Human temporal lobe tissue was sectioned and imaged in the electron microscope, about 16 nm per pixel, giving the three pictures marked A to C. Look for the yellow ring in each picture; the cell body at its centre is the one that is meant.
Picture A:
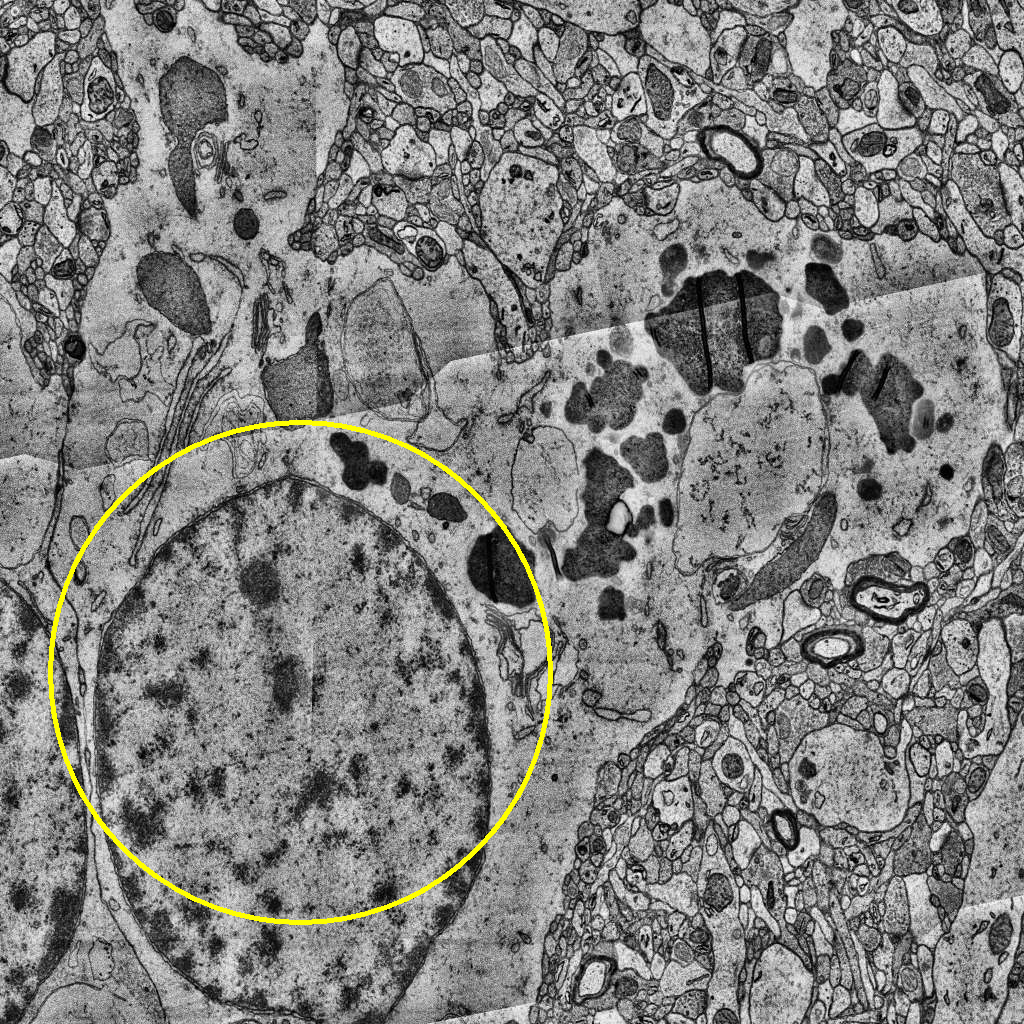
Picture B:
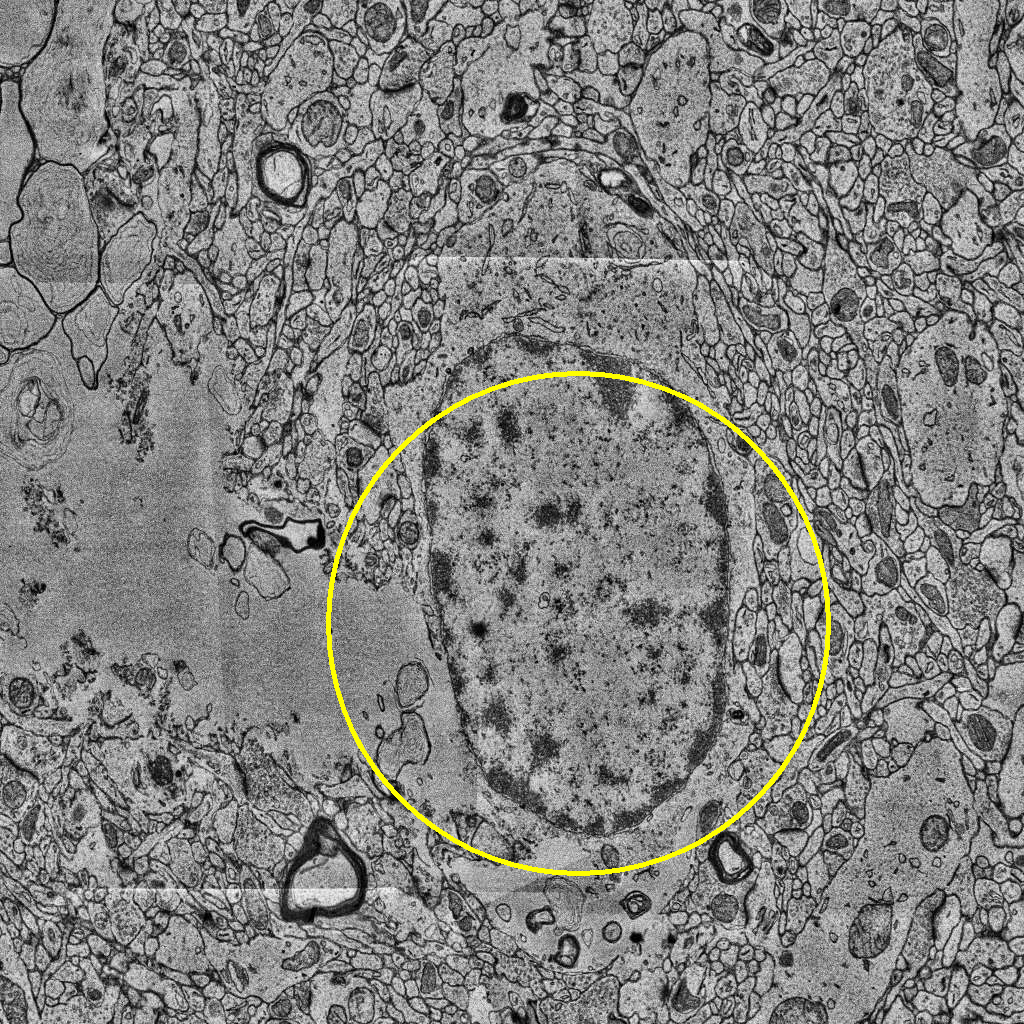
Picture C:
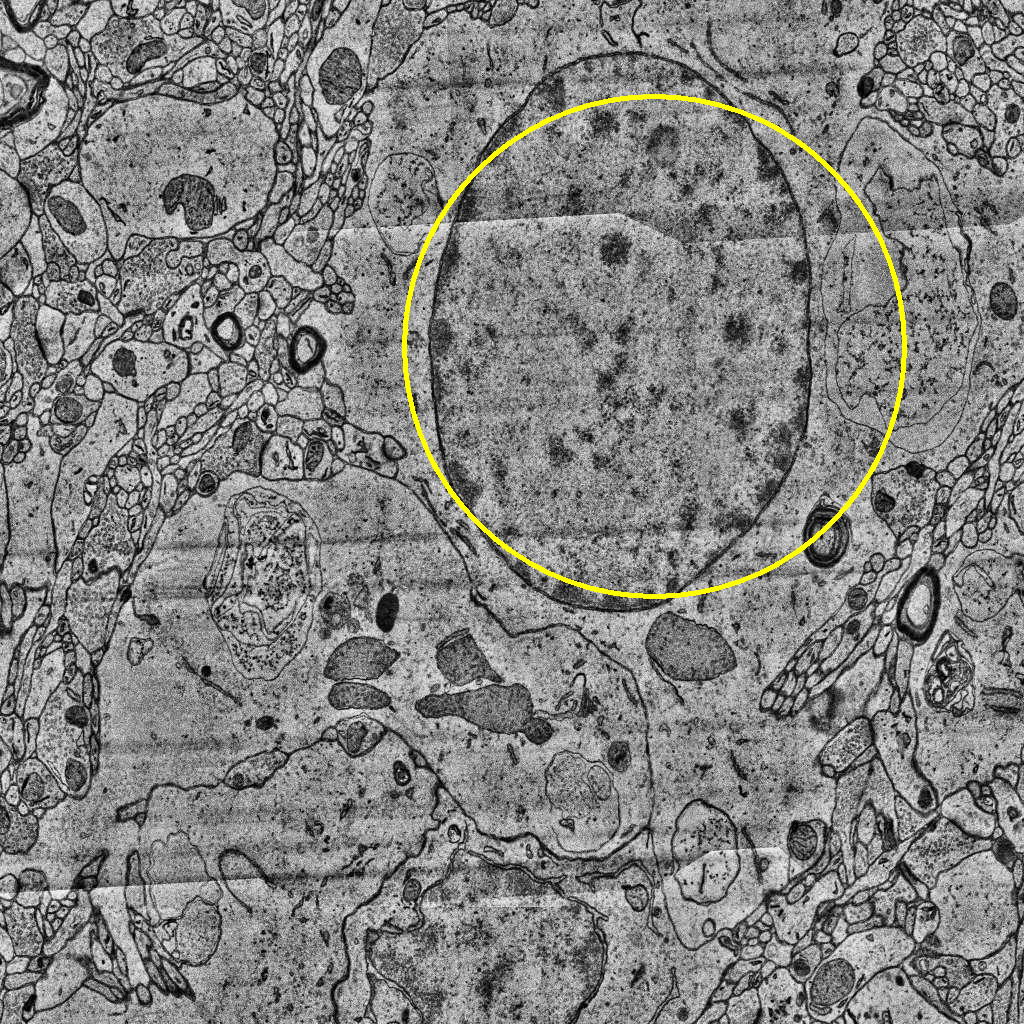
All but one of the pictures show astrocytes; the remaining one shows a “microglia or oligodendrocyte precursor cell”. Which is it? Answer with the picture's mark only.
B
